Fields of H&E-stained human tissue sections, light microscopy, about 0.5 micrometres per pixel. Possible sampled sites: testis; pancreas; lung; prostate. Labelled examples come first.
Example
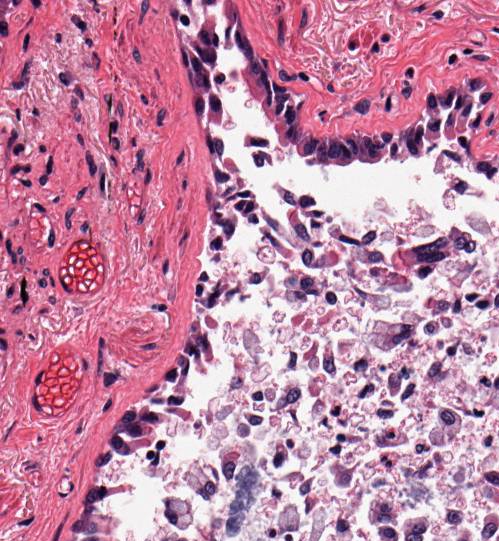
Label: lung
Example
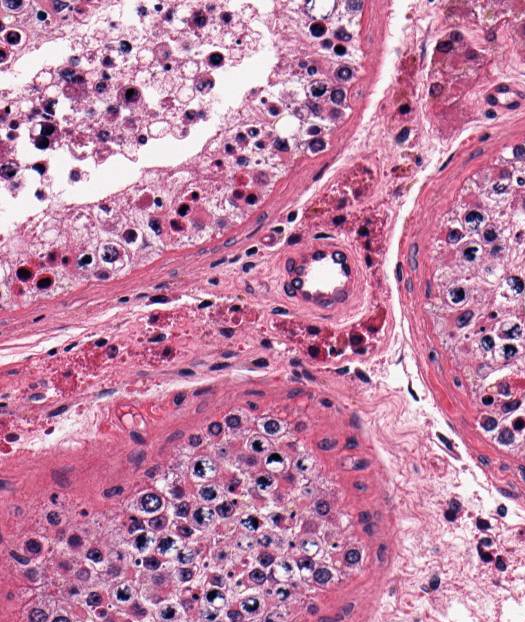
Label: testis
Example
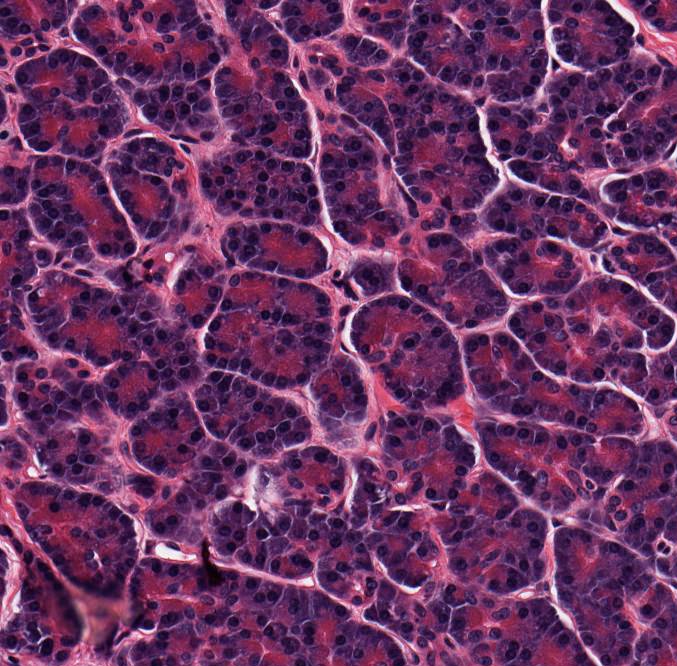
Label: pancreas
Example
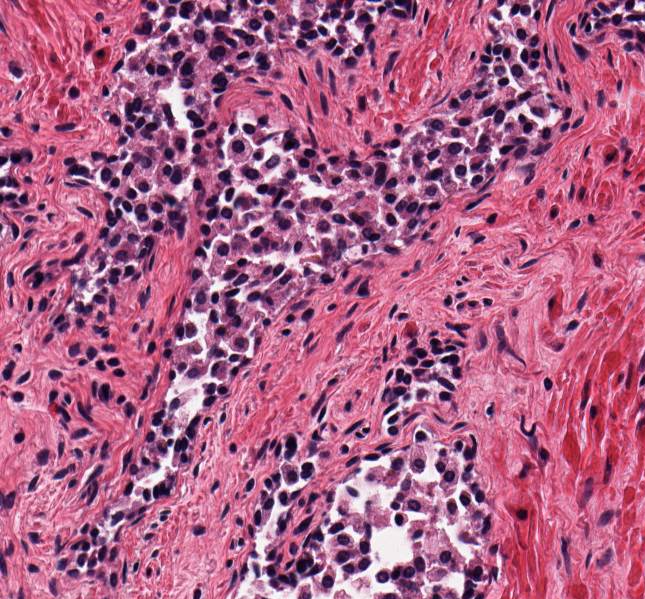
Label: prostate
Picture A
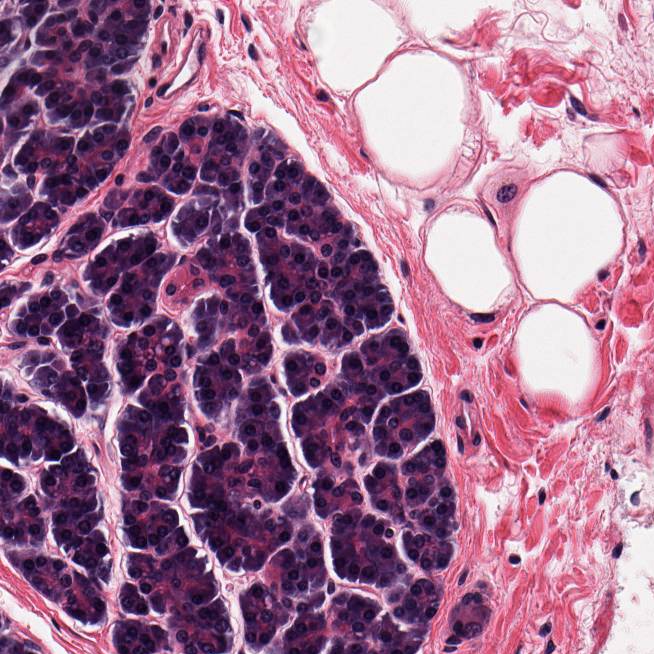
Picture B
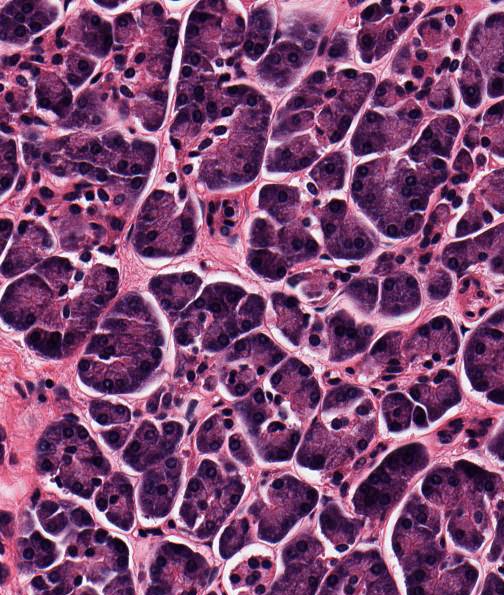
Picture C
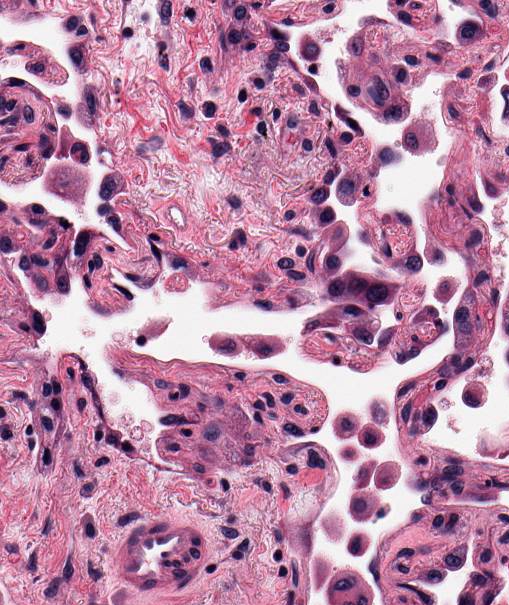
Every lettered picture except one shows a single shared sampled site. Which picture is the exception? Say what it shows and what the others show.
Odd one out: C (lung). The rest: pancreas.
